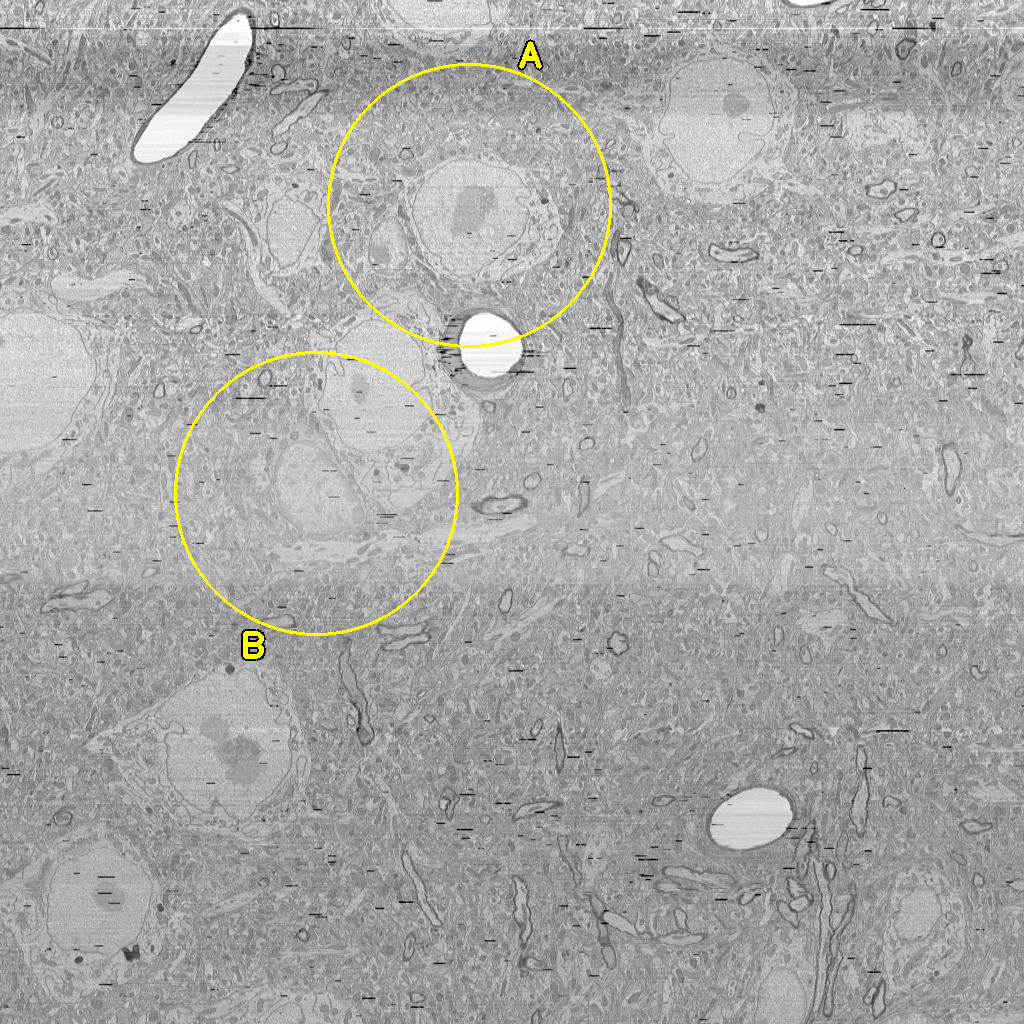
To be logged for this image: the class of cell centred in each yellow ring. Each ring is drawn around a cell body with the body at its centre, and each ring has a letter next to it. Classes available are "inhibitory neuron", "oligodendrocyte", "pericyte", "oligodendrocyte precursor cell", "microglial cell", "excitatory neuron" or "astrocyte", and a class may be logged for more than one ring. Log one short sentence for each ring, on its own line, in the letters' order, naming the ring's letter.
The class recorded for ring A is an inhibitory neuron.
The class recorded for ring B is an oligodendrocyte.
